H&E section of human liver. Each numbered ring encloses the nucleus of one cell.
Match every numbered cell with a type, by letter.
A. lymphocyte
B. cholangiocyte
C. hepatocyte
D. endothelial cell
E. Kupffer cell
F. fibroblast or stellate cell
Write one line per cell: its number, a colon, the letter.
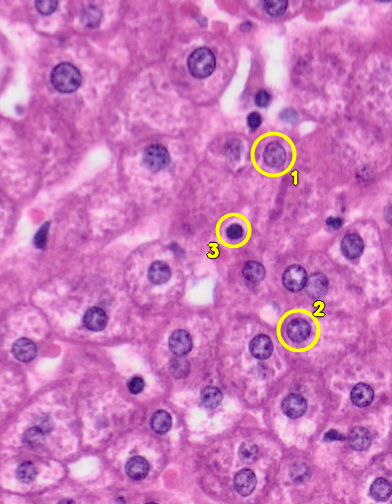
1: C
2: C
3: A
